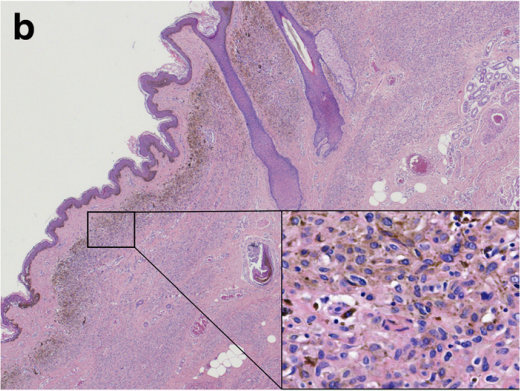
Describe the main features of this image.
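The nevus cells spread diffusely through the dermis and reach deep, surrounding hair follicles and extending towards the fat lobules and sweat glands. Brown pigment is concentrated in a band in the superficial dermis.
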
